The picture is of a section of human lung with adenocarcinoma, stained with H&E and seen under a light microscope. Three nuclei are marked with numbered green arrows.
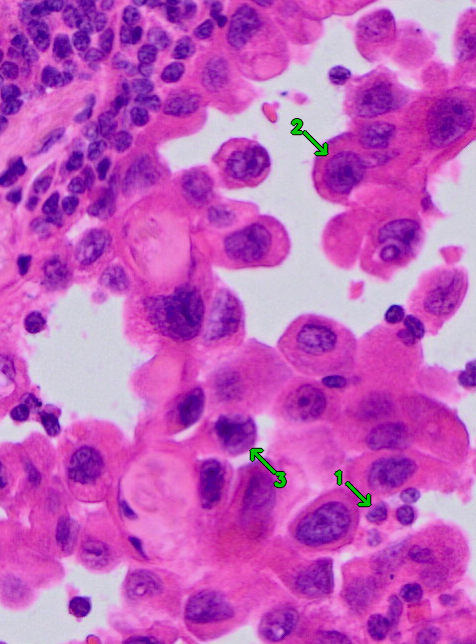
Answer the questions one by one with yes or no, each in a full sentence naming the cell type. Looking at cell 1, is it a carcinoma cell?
No, cell 1 is to be read as a lymphocyte, not a carcinoma cell.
